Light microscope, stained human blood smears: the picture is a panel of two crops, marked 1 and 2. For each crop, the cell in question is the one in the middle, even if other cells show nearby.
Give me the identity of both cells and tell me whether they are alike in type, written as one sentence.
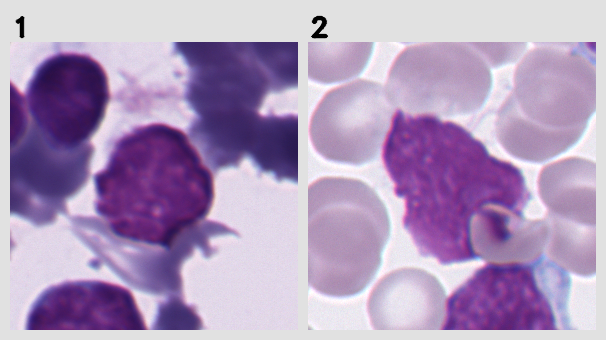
No, crop 1 shows a myeloblast, and it is crop 2 that shows a smudge cell.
